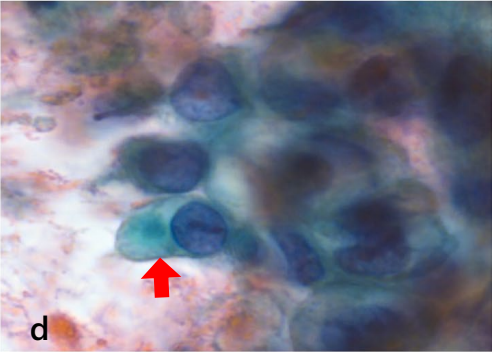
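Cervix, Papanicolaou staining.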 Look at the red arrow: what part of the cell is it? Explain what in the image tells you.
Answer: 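The arrow points to a pale, smooth blue-green area in the cytoplasm beside a nucleus. The nucleus is pushed to one side of the cell.
Answer: mucus-like substance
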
